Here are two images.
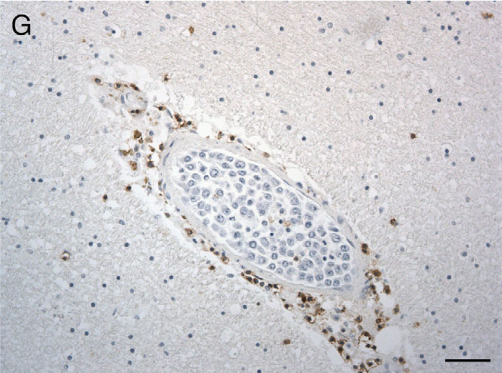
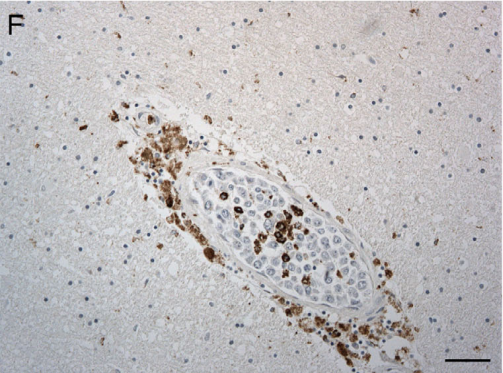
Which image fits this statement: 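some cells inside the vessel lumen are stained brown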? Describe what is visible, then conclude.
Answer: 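The second image. First image: the round cells filling the vessel all have blue nuclei and no brown stain. Second image: scattered brown cells are mixed among the blue cells inside the vessel.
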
